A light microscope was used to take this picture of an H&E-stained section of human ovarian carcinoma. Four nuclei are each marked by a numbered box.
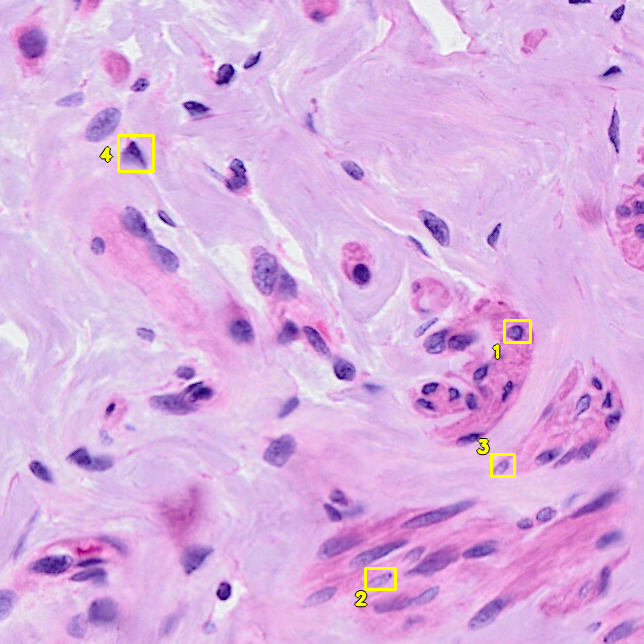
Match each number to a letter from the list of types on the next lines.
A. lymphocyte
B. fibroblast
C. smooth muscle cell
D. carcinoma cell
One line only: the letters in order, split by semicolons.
C; C; C; B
